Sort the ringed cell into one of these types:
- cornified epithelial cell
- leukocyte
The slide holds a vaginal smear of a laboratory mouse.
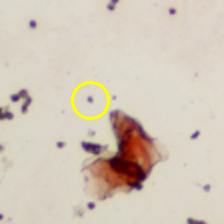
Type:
leukocyte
